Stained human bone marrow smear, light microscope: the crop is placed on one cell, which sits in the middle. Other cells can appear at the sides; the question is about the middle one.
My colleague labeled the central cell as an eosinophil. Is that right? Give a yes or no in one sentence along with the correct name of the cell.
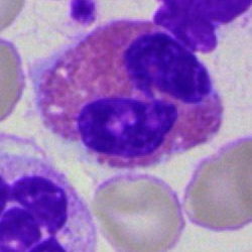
Yes, the cell at the center of the crop is an eosinophil.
